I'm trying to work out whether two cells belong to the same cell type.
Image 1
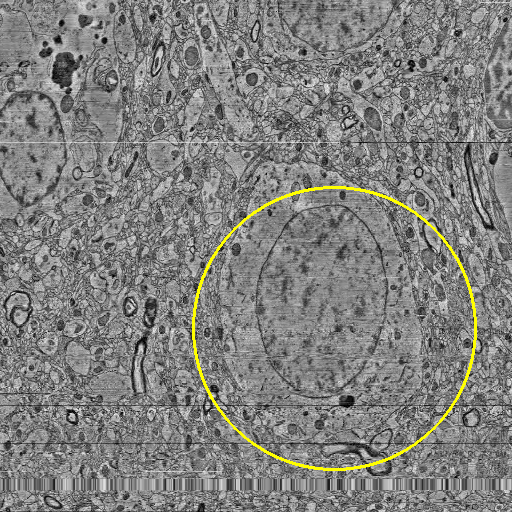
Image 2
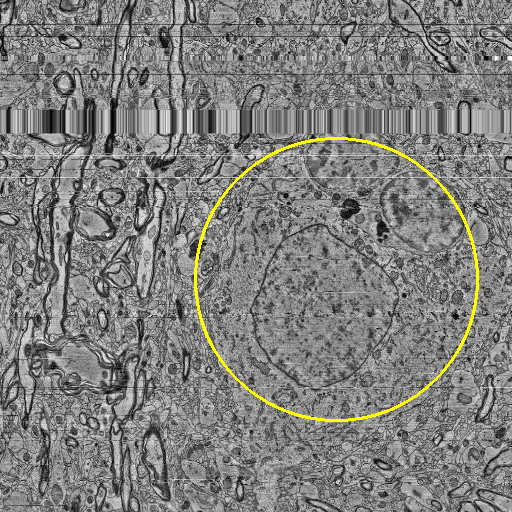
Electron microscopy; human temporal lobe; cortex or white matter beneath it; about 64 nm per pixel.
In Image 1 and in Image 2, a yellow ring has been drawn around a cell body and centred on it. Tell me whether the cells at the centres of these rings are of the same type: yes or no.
yes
